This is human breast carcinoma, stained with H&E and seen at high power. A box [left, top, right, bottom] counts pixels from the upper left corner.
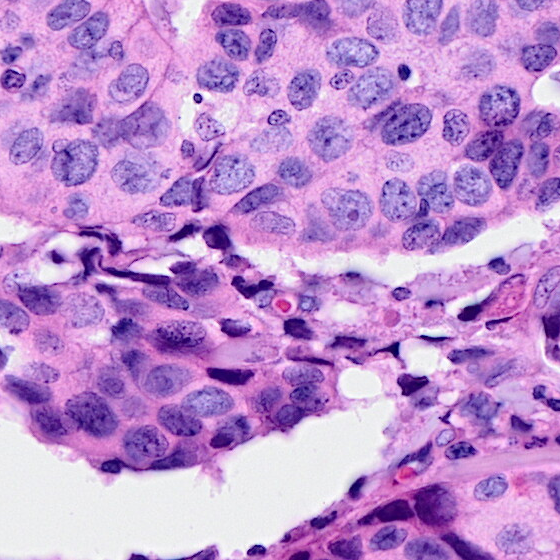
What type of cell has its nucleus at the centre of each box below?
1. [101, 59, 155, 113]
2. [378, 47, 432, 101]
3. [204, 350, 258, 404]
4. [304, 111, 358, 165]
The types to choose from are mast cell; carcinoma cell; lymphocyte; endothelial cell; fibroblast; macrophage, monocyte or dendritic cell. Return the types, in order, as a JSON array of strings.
["carcinoma cell", "lymphocyte", "carcinoma cell", "carcinoma cell"]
